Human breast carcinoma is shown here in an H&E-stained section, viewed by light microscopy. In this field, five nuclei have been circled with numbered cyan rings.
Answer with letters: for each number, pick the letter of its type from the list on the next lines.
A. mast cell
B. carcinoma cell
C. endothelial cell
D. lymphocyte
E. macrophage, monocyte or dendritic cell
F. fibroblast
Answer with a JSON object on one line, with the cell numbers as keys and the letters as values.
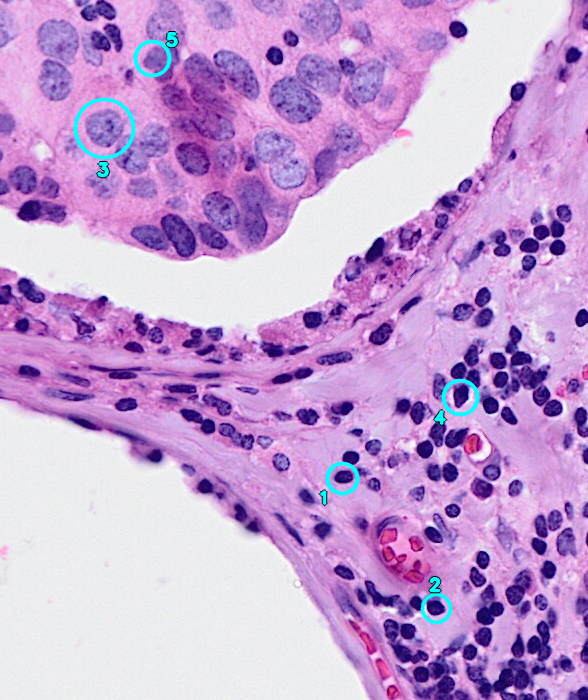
{"1": "D", "2": "D", "3": "B", "4": "D", "5": "B"}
